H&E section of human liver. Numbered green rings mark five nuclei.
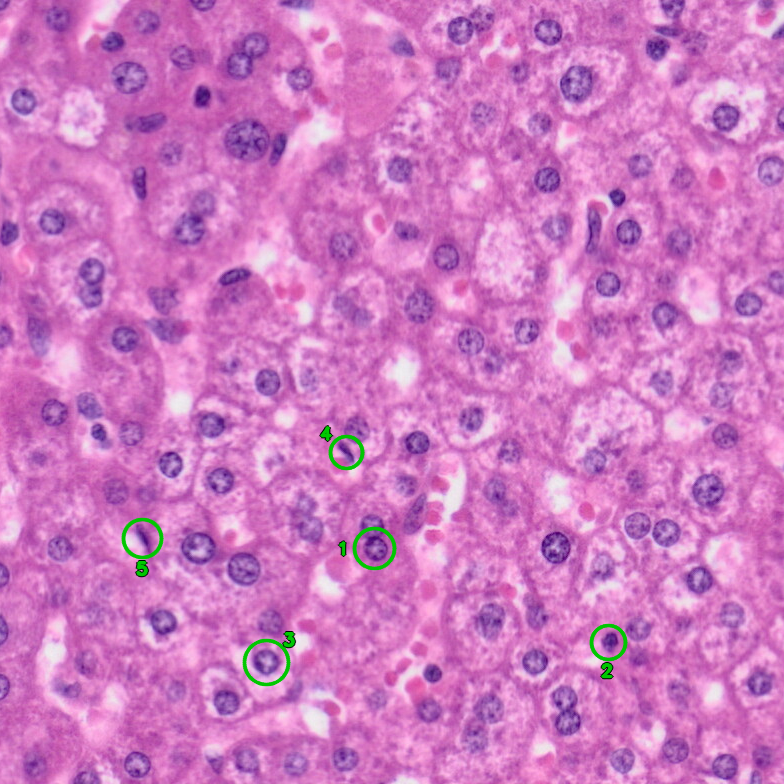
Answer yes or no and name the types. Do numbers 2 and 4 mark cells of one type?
No, cell 2 is a lymphocyte and cell 4 is an endothelial cell.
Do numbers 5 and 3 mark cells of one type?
No, cell 5 is an endothelial cell and cell 3 is a hepatocyte.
